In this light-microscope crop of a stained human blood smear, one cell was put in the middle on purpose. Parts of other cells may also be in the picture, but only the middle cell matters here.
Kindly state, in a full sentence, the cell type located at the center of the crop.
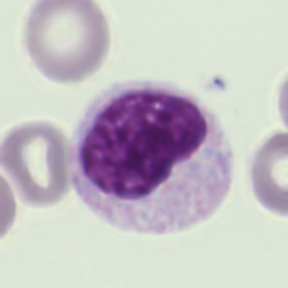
In the center of this field lies a metamyelocyte.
